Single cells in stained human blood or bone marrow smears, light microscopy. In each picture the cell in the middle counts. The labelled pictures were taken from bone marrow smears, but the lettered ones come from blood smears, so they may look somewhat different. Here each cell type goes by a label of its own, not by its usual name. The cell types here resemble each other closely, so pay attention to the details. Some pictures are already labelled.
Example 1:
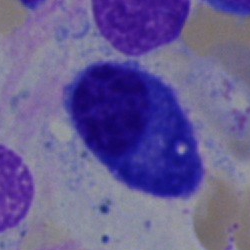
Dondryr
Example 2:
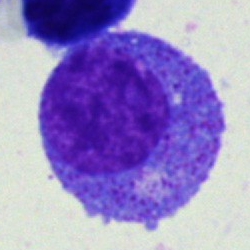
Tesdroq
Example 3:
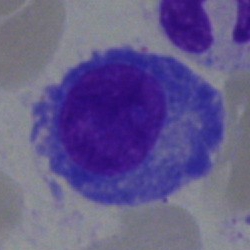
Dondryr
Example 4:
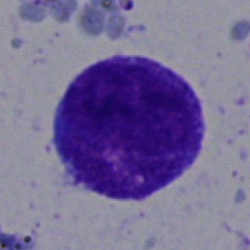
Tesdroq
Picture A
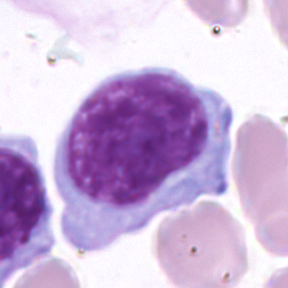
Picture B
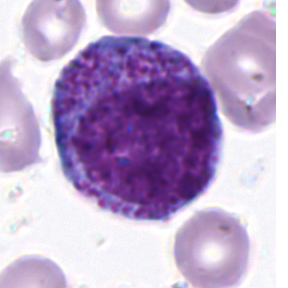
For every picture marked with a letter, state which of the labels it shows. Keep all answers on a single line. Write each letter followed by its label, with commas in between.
A Dondryr, B Tesdroq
